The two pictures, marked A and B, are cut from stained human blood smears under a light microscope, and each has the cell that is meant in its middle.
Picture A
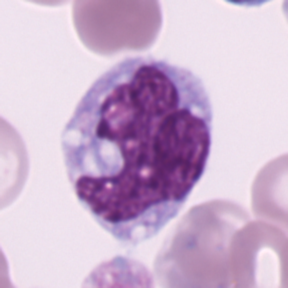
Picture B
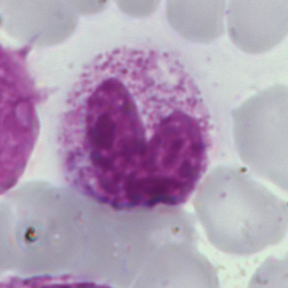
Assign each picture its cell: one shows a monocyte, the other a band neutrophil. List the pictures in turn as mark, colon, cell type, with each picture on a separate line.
A: monocyte
B: band neutrophil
